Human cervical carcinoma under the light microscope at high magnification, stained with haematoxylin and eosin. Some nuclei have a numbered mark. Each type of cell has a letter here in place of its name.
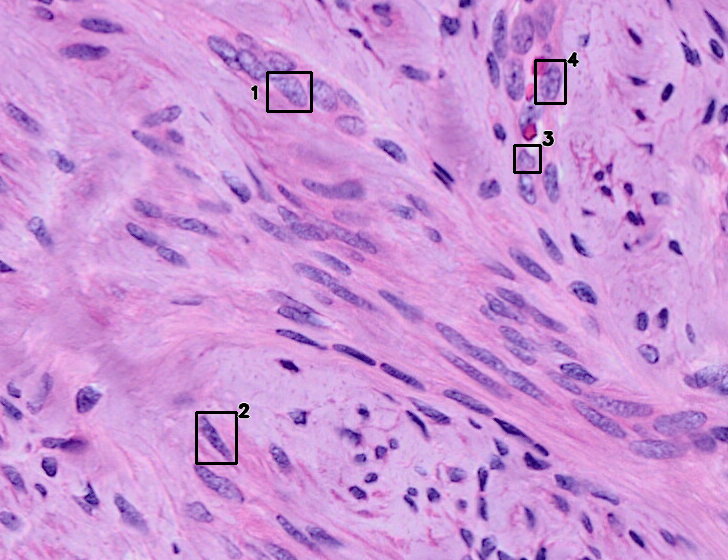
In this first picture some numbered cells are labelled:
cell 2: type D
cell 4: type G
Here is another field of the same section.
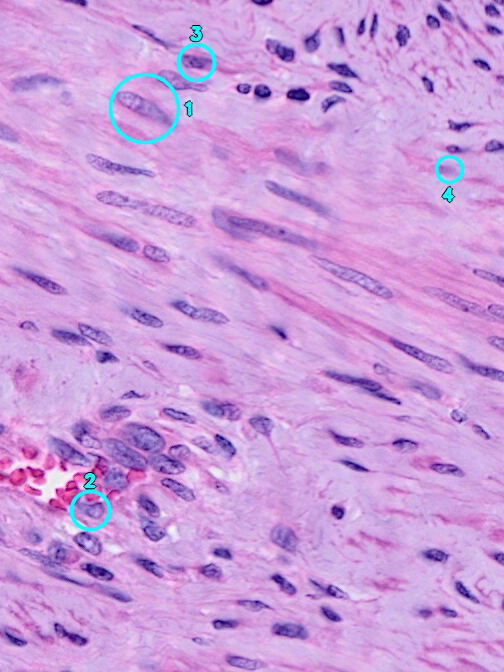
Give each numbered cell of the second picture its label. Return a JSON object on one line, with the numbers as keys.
{"1": "type D", "2": "type G", "3": "type D", "4": "type D"}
